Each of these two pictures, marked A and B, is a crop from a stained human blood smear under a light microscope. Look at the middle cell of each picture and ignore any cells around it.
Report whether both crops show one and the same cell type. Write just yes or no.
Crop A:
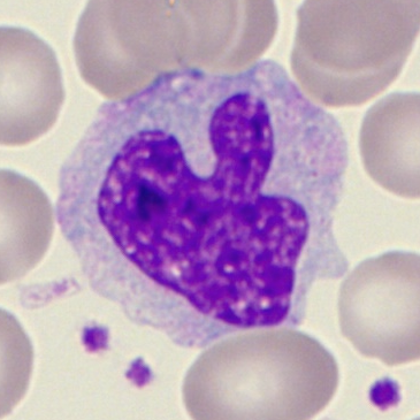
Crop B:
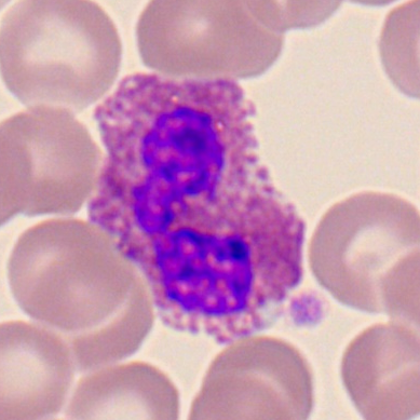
no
